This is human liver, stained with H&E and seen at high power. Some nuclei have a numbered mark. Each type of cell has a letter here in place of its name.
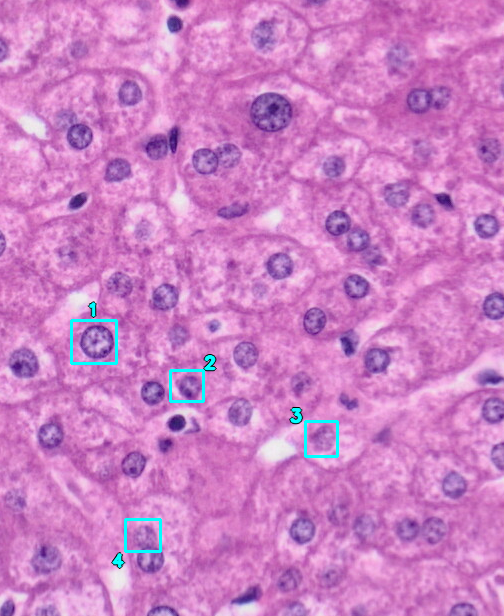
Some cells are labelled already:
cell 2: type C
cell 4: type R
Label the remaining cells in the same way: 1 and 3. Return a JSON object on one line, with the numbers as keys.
{"1": "type C", "3": "type C"}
